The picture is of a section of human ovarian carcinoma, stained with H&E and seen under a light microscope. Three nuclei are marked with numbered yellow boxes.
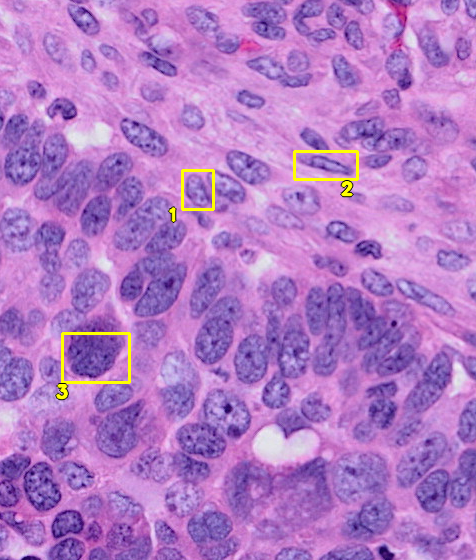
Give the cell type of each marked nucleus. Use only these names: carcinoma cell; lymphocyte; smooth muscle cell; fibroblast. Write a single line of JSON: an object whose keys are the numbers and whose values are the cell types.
{"1": "fibroblast", "2": "fibroblast", "3": "carcinoma cell"}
